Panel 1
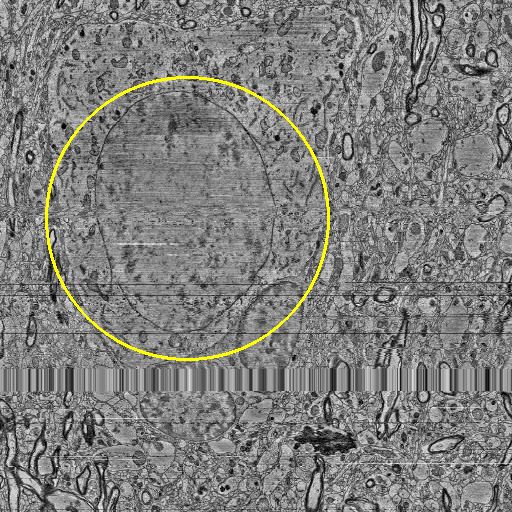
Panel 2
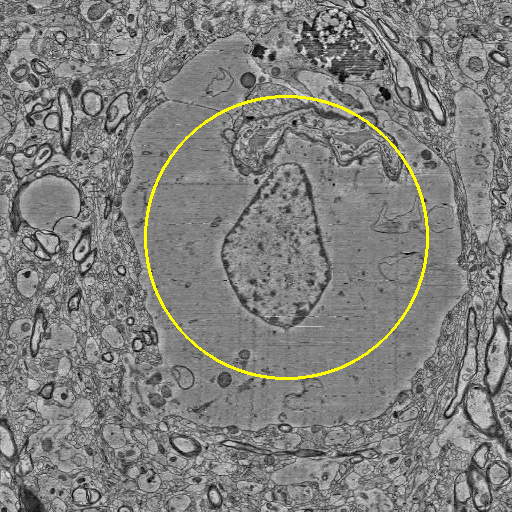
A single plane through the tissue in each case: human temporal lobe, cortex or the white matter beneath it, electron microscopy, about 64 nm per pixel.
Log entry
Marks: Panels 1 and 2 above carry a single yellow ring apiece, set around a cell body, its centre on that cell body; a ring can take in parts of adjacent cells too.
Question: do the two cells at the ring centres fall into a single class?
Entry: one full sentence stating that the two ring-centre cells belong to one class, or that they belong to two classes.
The two ring-centre cells in Panels 1 and 2 belong to two classes.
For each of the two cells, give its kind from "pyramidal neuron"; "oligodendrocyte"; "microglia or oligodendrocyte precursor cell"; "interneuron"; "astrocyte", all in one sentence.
The first picture has a pyramidal neuron in its ring, the second has an astrocyte.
